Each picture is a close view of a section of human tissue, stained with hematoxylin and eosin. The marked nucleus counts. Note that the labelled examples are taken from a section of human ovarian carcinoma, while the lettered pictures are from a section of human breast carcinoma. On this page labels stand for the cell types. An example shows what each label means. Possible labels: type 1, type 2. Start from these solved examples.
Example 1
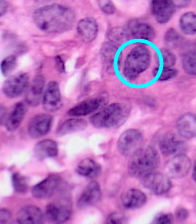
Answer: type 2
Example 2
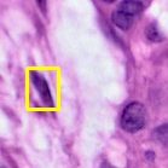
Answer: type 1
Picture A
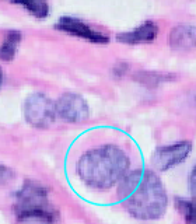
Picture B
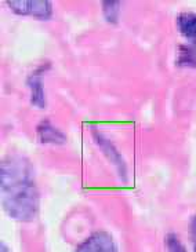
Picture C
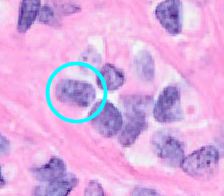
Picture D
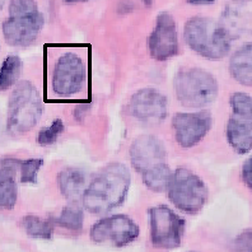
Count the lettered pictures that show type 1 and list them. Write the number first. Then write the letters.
Count: 1 (B)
